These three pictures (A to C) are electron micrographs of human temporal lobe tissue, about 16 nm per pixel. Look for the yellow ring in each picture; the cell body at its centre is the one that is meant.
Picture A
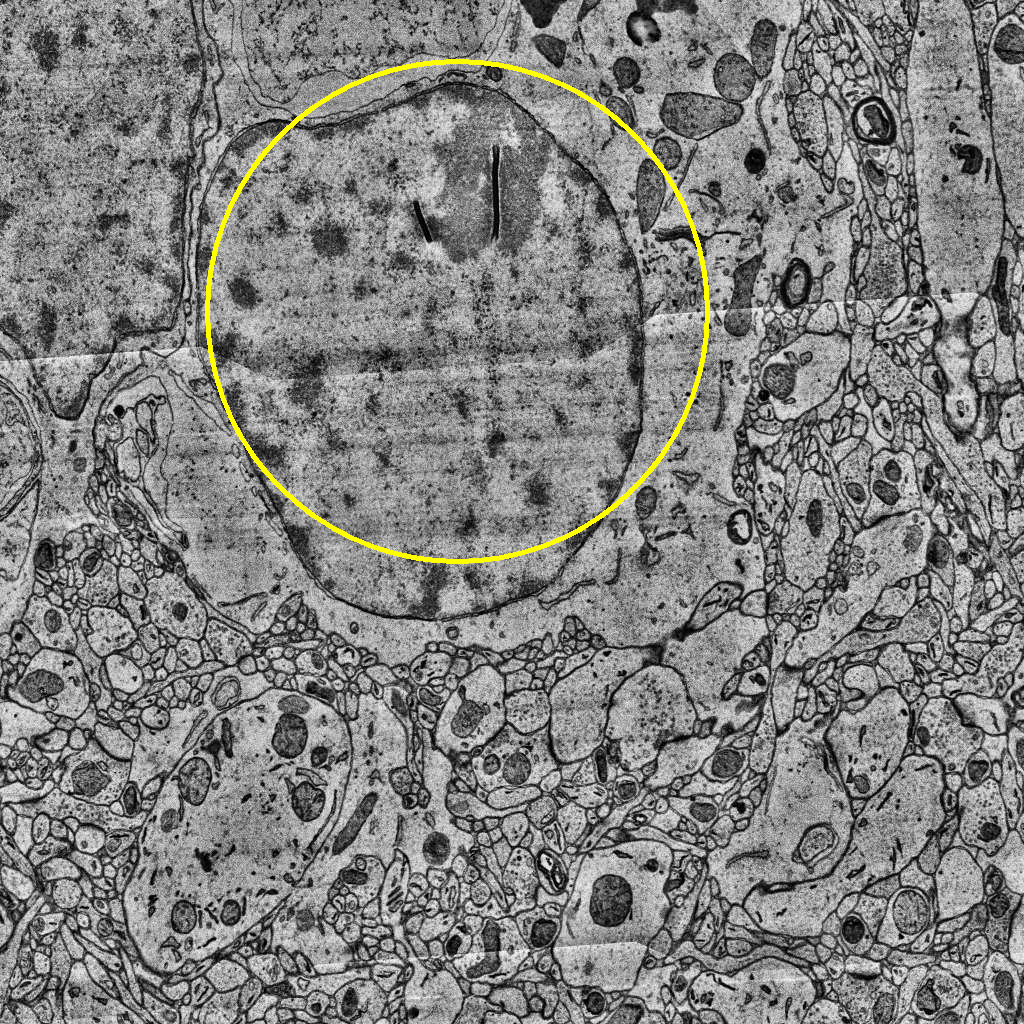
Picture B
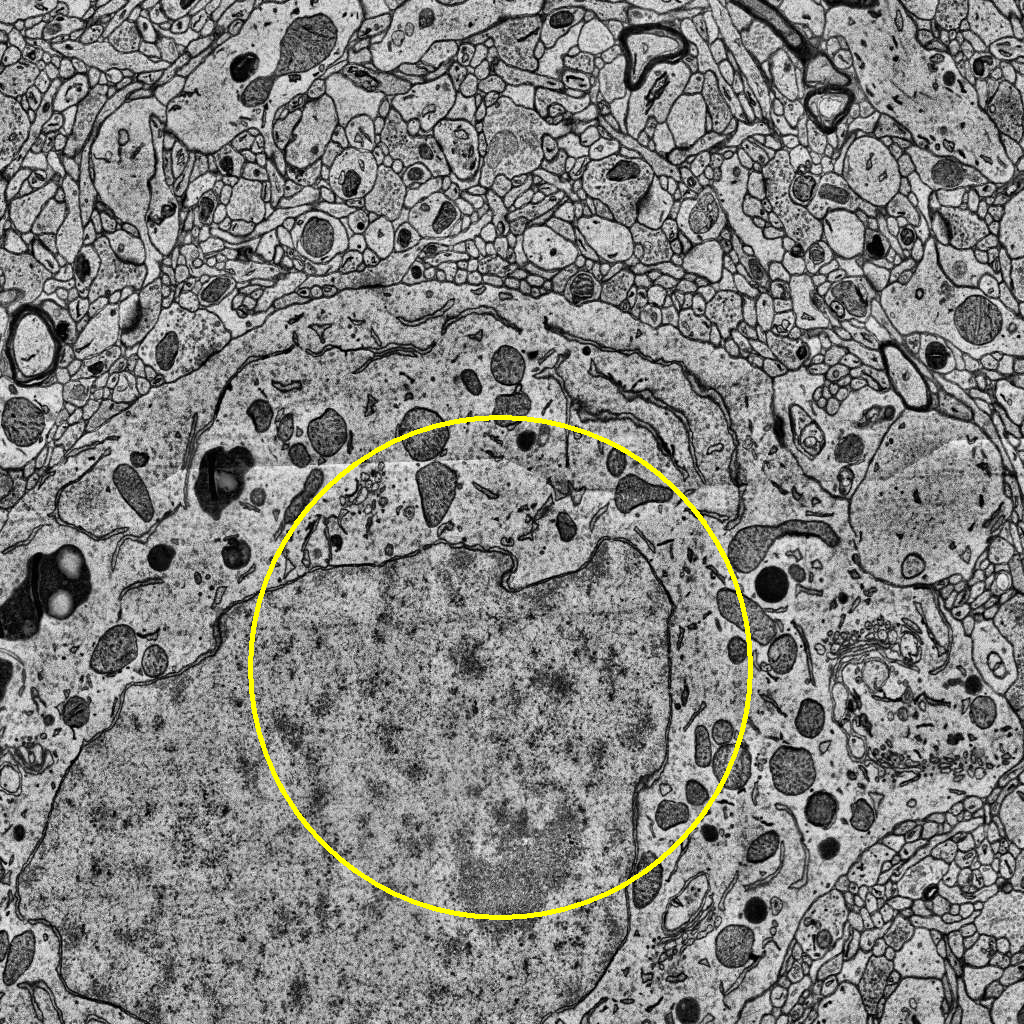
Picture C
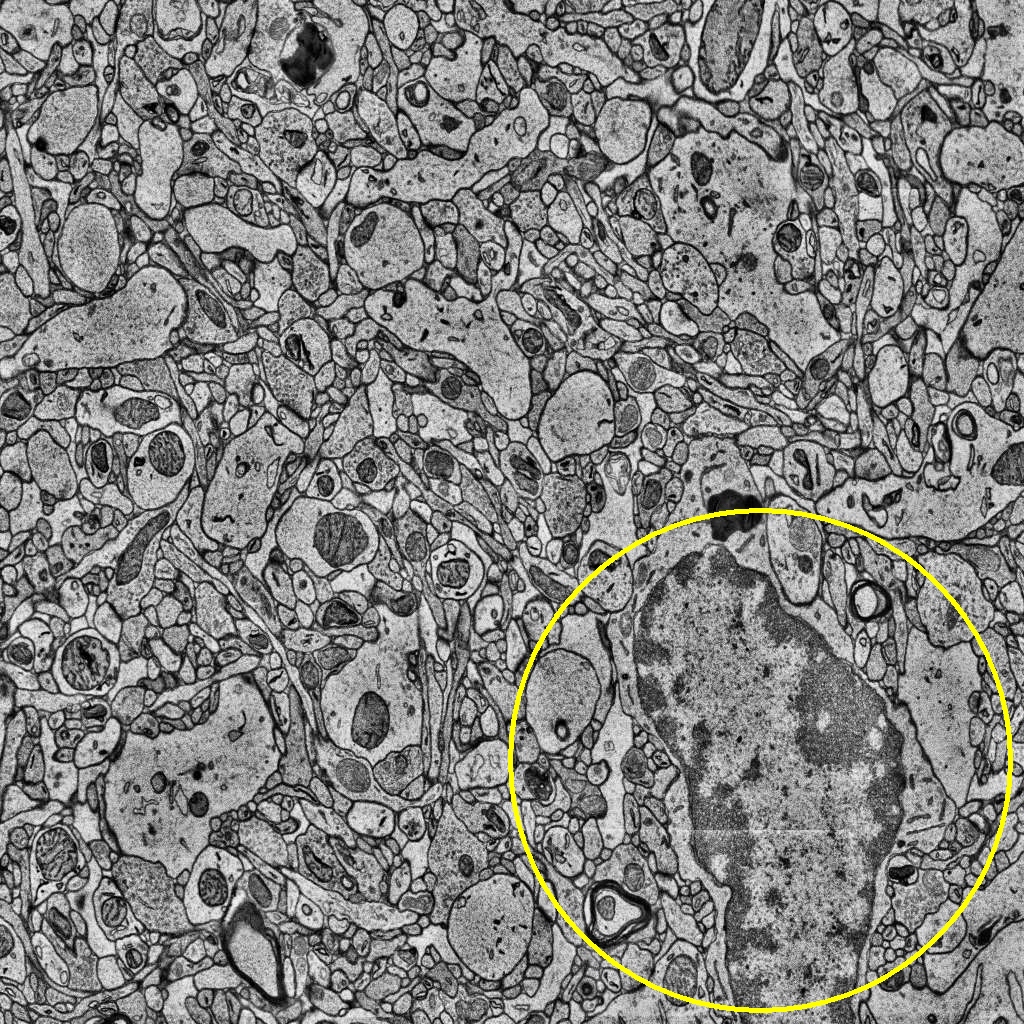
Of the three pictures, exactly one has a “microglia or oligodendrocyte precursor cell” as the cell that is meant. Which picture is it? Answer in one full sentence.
Picture C shows the “microglia or oligodendrocyte precursor cell”.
